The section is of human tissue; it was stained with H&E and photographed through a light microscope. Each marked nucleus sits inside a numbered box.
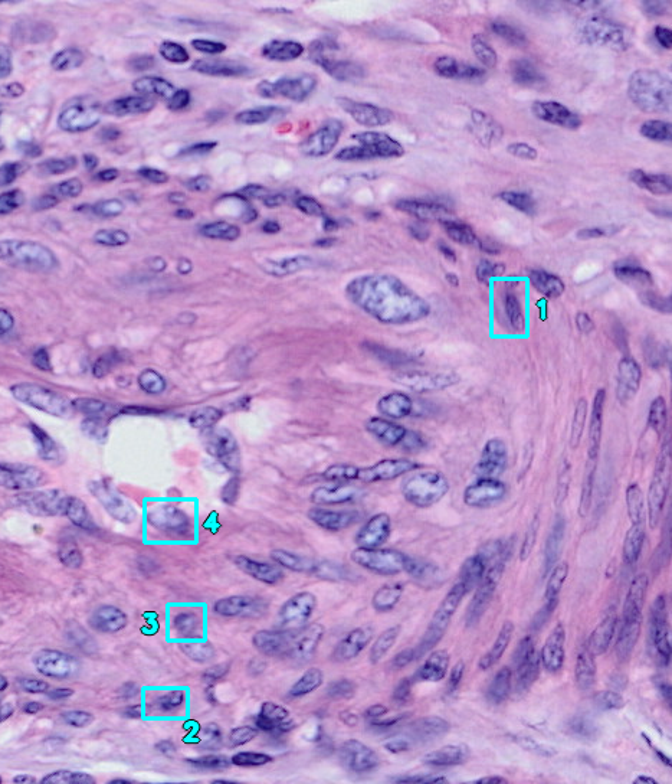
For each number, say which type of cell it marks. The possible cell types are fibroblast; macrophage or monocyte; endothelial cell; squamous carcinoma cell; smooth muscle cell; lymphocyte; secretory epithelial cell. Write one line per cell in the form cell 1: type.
cell 1: smooth muscle cell
cell 2: smooth muscle cell
cell 3: smooth muscle cell
cell 4: endothelial cell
